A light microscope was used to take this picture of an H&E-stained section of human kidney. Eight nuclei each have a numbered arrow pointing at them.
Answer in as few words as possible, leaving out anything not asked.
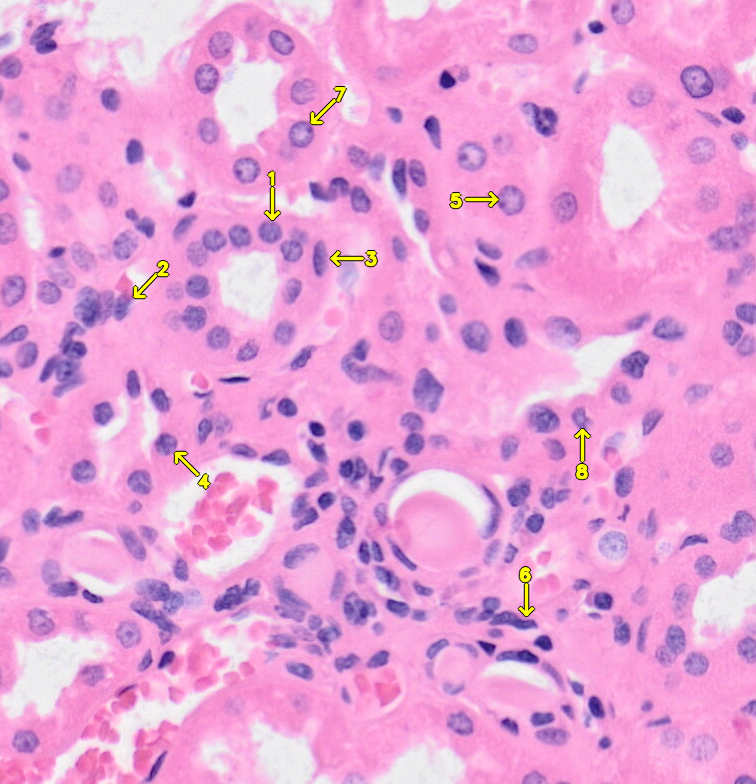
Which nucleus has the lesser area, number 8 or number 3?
8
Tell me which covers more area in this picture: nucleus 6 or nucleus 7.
7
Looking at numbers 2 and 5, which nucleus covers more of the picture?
5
